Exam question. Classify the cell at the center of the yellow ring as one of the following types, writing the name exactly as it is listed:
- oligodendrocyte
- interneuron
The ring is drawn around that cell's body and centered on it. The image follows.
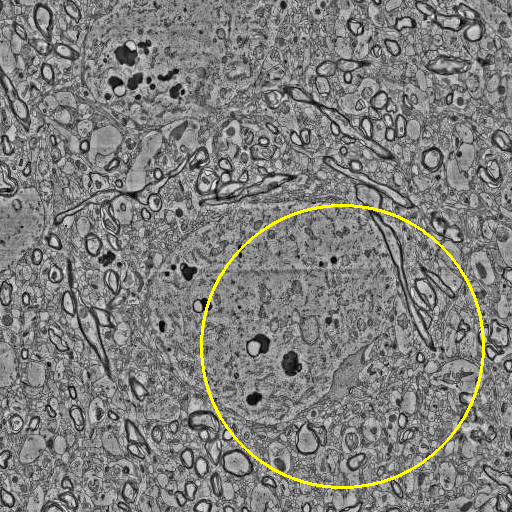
oligodendrocyte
